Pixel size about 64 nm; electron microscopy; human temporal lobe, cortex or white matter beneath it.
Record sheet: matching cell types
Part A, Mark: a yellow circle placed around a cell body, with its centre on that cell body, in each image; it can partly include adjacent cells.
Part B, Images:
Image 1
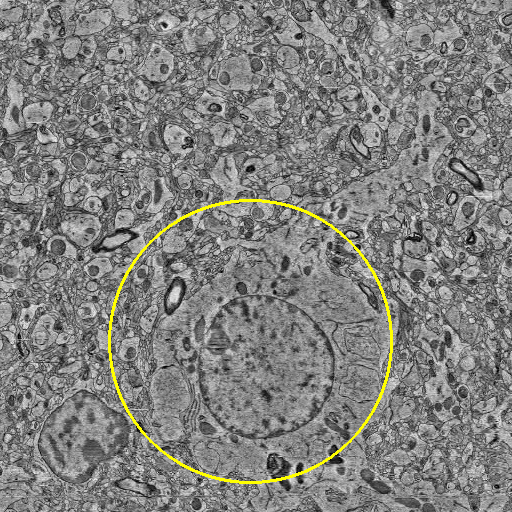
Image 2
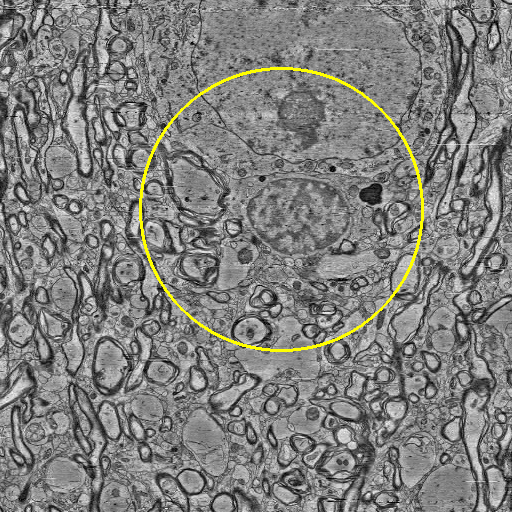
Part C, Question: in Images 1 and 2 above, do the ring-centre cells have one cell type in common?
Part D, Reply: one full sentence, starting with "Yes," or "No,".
No, the ring-centre cells of Image 1 and Image 2 are each of a separate cell type.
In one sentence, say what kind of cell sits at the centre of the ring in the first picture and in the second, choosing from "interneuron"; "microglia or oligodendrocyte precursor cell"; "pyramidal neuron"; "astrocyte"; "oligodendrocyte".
The first picture's ringed cell is an astrocyte, while the second picture's is an oligodendrocyte.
